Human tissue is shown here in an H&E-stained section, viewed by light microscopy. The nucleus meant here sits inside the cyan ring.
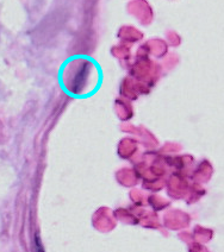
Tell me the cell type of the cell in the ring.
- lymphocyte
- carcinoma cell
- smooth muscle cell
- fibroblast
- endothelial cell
endothelial cell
